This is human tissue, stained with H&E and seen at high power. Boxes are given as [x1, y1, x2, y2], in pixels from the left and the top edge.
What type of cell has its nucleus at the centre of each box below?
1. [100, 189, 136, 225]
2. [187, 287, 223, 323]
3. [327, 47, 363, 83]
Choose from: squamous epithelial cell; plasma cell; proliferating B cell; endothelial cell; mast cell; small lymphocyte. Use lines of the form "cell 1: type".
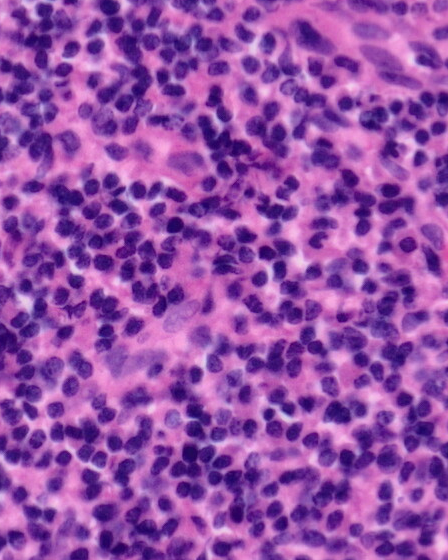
cell 1: small lymphocyte
cell 2: endothelial cell
cell 3: endothelial cell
